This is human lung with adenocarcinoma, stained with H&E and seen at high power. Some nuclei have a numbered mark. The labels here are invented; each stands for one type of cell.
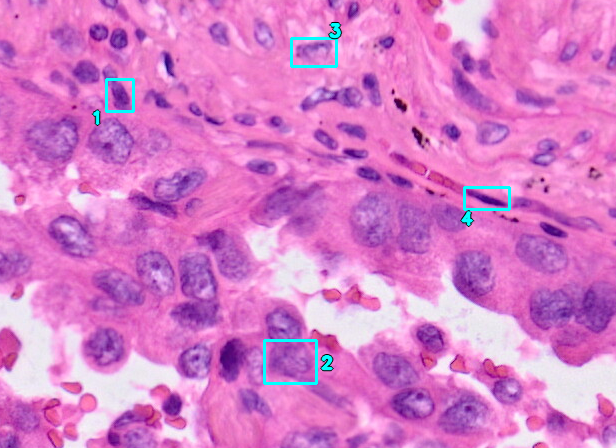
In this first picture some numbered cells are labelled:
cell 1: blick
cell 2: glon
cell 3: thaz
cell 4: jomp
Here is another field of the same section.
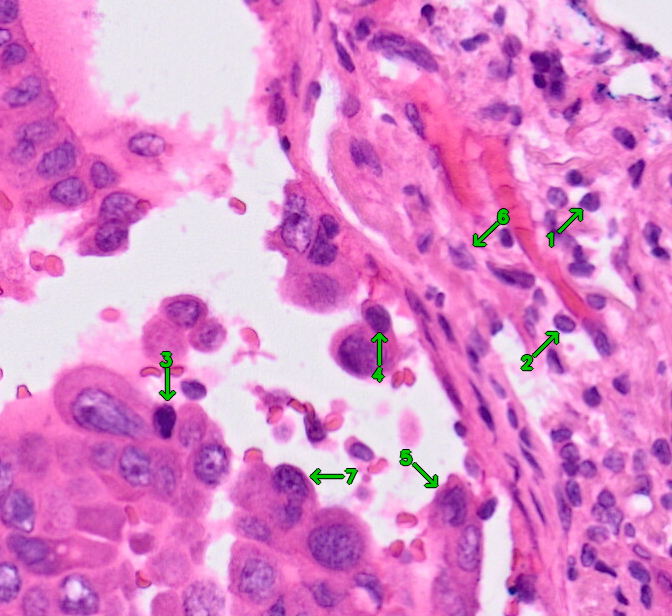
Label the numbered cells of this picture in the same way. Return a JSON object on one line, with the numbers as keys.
{"1": "blick", "2": "blick", "3": "glon", "4": "glon", "5": "glon", "6": "thaz", "7": "glon"}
